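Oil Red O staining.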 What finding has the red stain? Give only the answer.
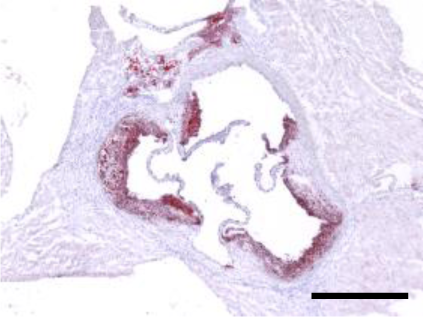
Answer: atherosclerotic lesion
